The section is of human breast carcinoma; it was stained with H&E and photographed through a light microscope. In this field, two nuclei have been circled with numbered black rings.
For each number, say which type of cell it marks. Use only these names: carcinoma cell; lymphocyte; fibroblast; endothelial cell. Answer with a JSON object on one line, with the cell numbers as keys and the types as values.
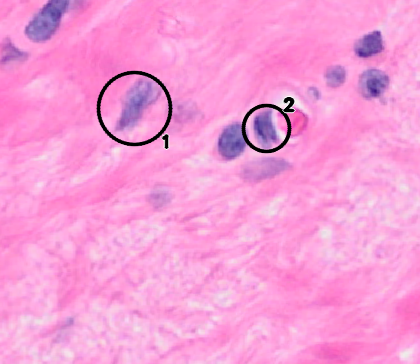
{"1": "fibroblast", "2": "endothelial cell"}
